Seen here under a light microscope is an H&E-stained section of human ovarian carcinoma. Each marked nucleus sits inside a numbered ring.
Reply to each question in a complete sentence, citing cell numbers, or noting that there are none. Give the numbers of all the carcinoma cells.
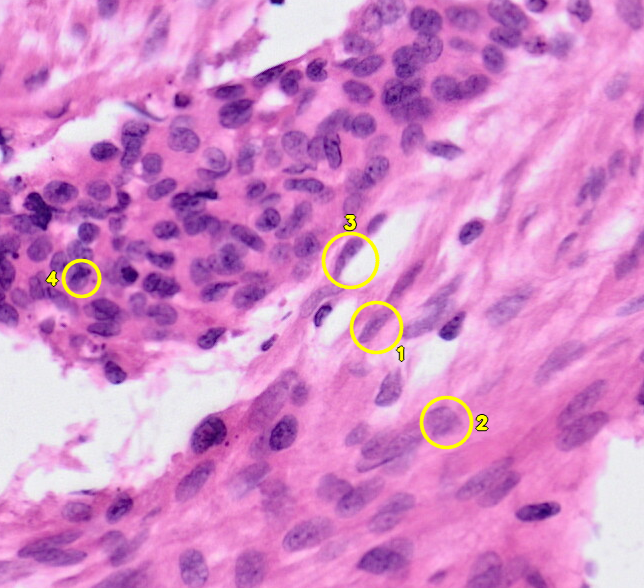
Of the marked cells, the one numbered 4 is a carcinoma cell and the rest are not.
